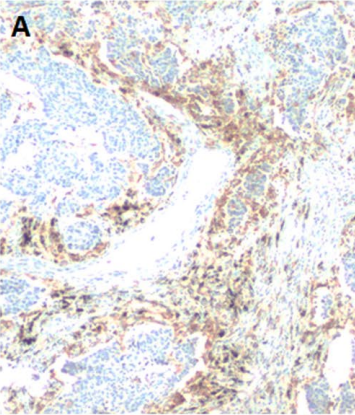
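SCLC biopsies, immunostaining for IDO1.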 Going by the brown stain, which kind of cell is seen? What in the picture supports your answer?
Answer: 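Brown staining lies in the bands of tissue between the blue tumor nests. The tumor nests themselves are largely unstained blue.
Answer: stromal cells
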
